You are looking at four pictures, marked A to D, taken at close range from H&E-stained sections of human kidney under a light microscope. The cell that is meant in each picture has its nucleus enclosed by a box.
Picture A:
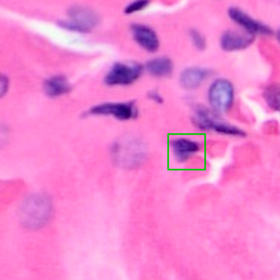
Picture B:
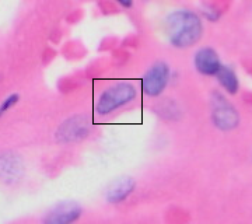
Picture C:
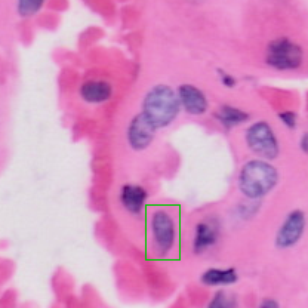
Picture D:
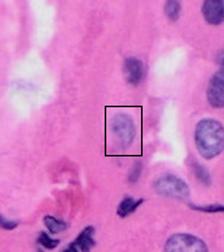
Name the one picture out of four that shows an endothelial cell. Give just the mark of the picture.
A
